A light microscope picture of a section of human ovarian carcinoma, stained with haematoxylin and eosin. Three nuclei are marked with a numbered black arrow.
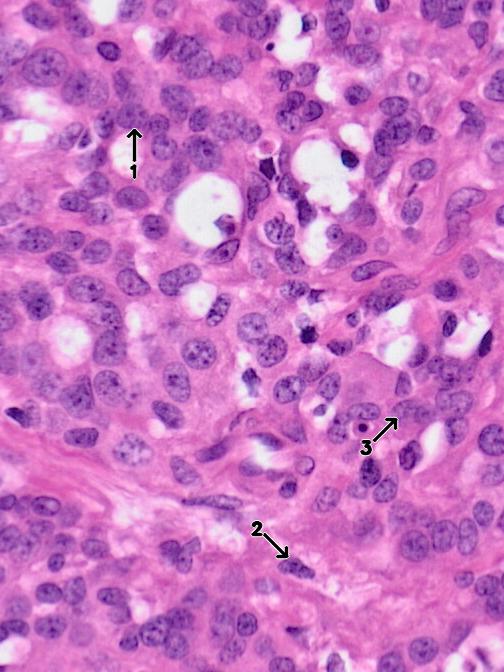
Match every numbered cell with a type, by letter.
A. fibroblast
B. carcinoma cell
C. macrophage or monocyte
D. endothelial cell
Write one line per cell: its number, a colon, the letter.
1: B
2: C
3: B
